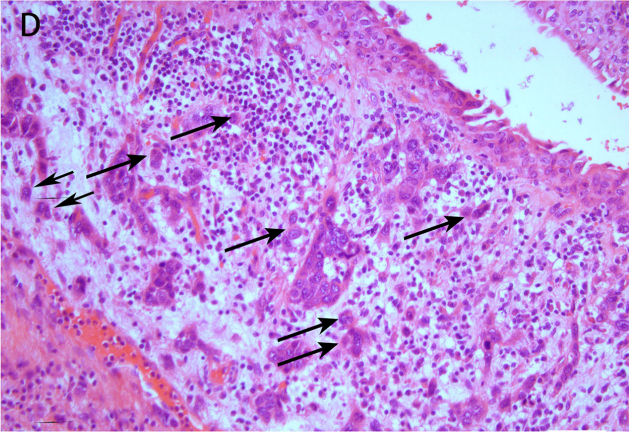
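Carcinoma with many single cancer cells and tiny clusters dispersed through a loose, pale, edematous stroma. The tumor cells are large, with big dark purple nuclei and pink cytoplasm, some irregular in outline. The stroma between them is densely crowded with small round inflammatory cells with dark nuclei. A lining of epithelial cells runs along an empty space at the upper right, and red blood cells fill vessels at the lower left.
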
